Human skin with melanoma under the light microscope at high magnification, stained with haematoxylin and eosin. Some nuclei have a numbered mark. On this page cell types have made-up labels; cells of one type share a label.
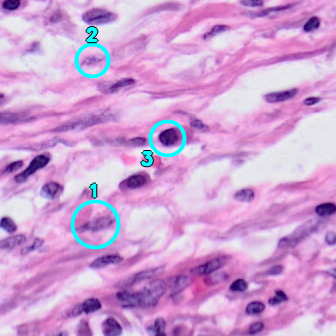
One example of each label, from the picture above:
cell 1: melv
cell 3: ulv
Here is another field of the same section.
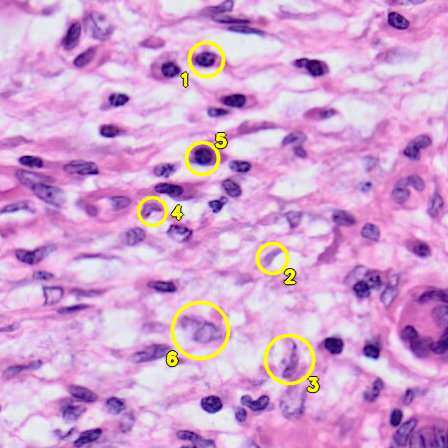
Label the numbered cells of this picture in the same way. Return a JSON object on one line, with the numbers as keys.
{"1": "ulv", "2": "melv", "3": "melv", "4": "melv", "5": "ulv", "6": "melv"}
